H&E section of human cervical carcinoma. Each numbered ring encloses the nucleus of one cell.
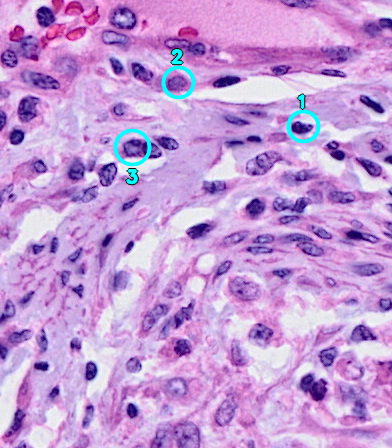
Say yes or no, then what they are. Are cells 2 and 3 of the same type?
No, cell 3 is a lymphocyte, and cell 2 is a macrophage or monocyte.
